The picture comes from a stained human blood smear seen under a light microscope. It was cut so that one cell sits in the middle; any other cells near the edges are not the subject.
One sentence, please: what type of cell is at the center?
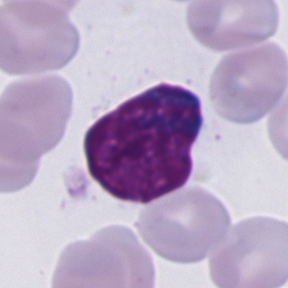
The centrally located cell in the crop is a smudge cell.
